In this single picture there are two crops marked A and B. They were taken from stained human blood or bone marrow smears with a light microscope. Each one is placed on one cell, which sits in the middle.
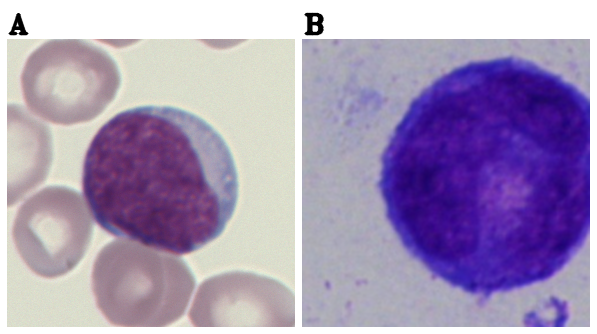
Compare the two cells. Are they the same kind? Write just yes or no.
yes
